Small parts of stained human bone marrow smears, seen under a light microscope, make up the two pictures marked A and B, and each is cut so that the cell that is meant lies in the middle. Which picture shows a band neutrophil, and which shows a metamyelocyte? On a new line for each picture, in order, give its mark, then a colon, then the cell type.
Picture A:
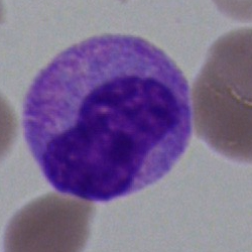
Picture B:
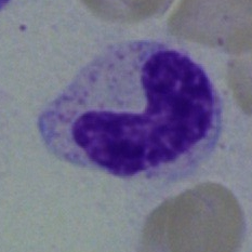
A: metamyelocyte
B: band neutrophil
